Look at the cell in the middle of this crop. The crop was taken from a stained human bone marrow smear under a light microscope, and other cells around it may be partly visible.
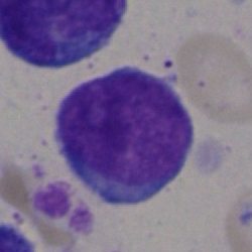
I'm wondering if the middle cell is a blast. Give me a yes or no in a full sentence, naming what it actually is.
Yes, the cell occupying the center is a blast.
